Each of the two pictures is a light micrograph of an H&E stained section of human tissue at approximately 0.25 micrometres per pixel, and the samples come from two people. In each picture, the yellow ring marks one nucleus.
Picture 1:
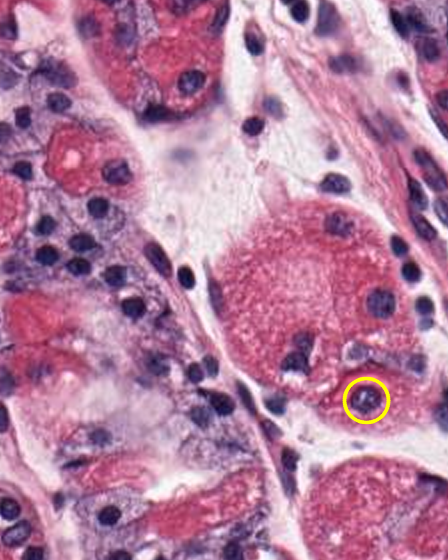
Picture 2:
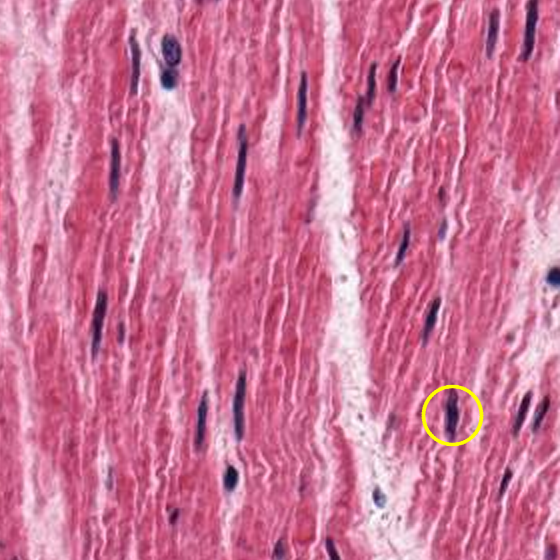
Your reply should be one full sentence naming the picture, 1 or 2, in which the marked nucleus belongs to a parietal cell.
For picture 1, the marked nucleus is that of a parietal cell.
